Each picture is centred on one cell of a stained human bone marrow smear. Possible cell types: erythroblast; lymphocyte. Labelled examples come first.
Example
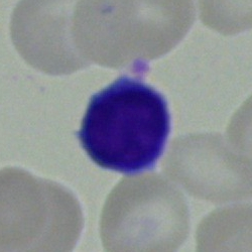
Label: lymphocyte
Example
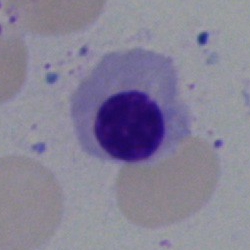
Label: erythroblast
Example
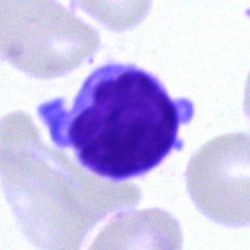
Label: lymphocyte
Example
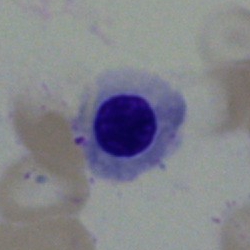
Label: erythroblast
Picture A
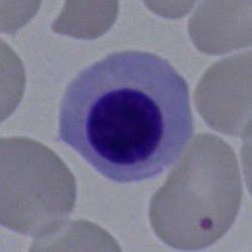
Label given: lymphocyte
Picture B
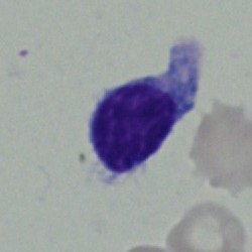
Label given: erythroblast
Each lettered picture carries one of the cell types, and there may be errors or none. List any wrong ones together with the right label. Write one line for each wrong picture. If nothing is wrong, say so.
Wrong: A (lymphocyte); correct: erythroblast
Wrong: B (erythroblast); correct: lymphocyte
